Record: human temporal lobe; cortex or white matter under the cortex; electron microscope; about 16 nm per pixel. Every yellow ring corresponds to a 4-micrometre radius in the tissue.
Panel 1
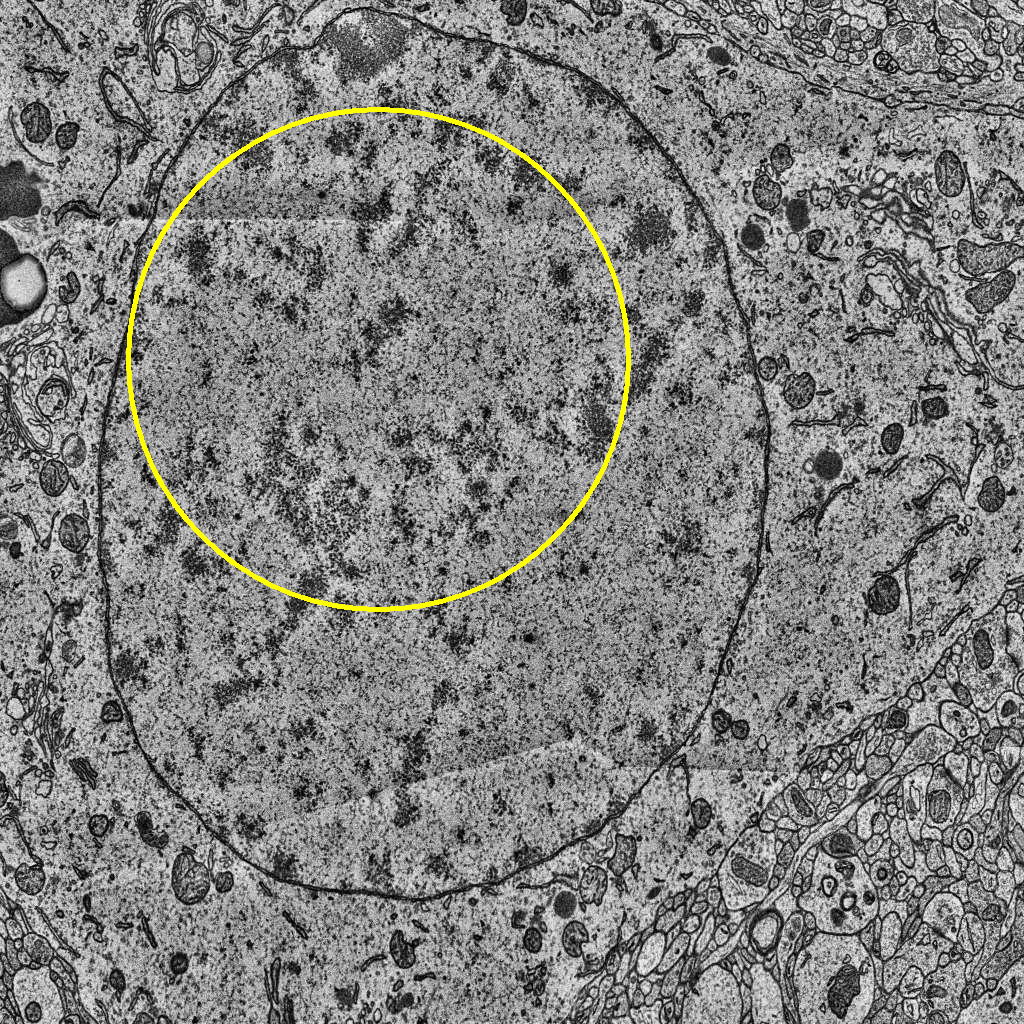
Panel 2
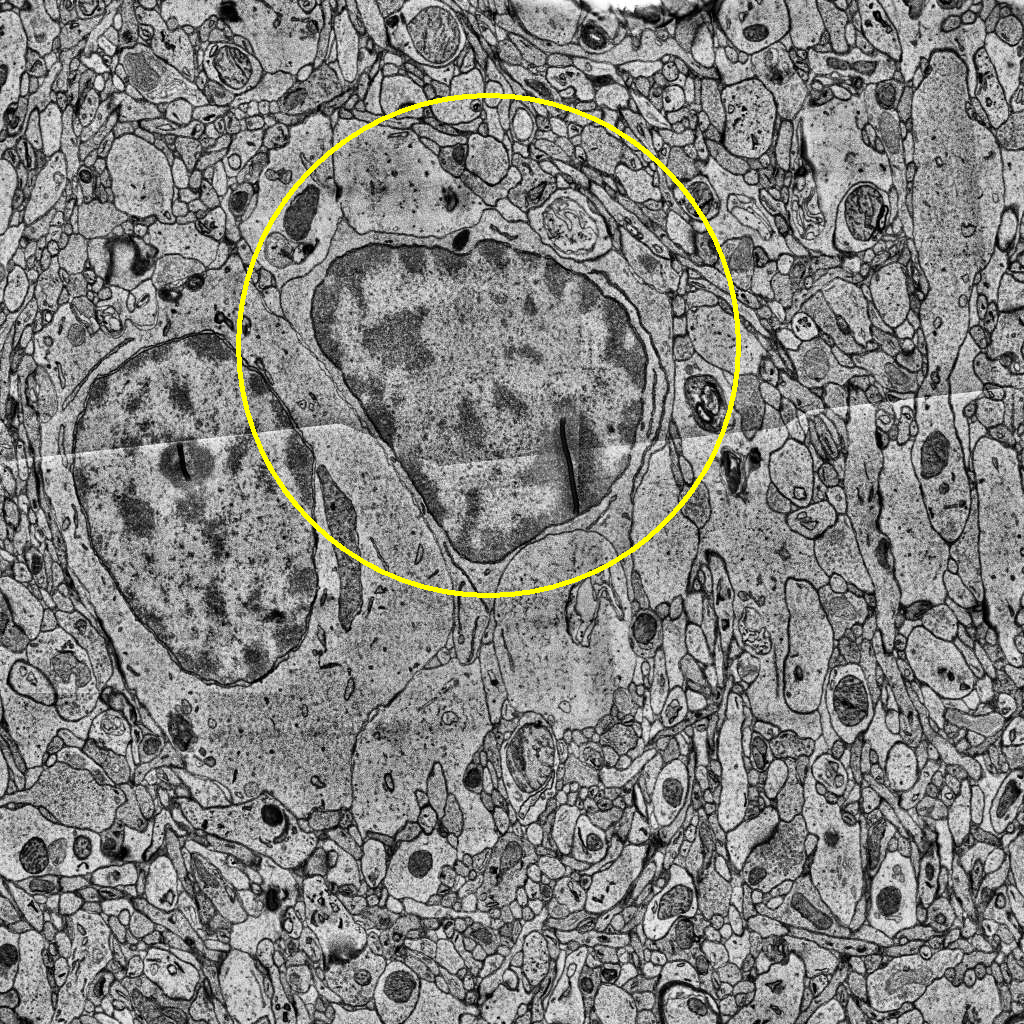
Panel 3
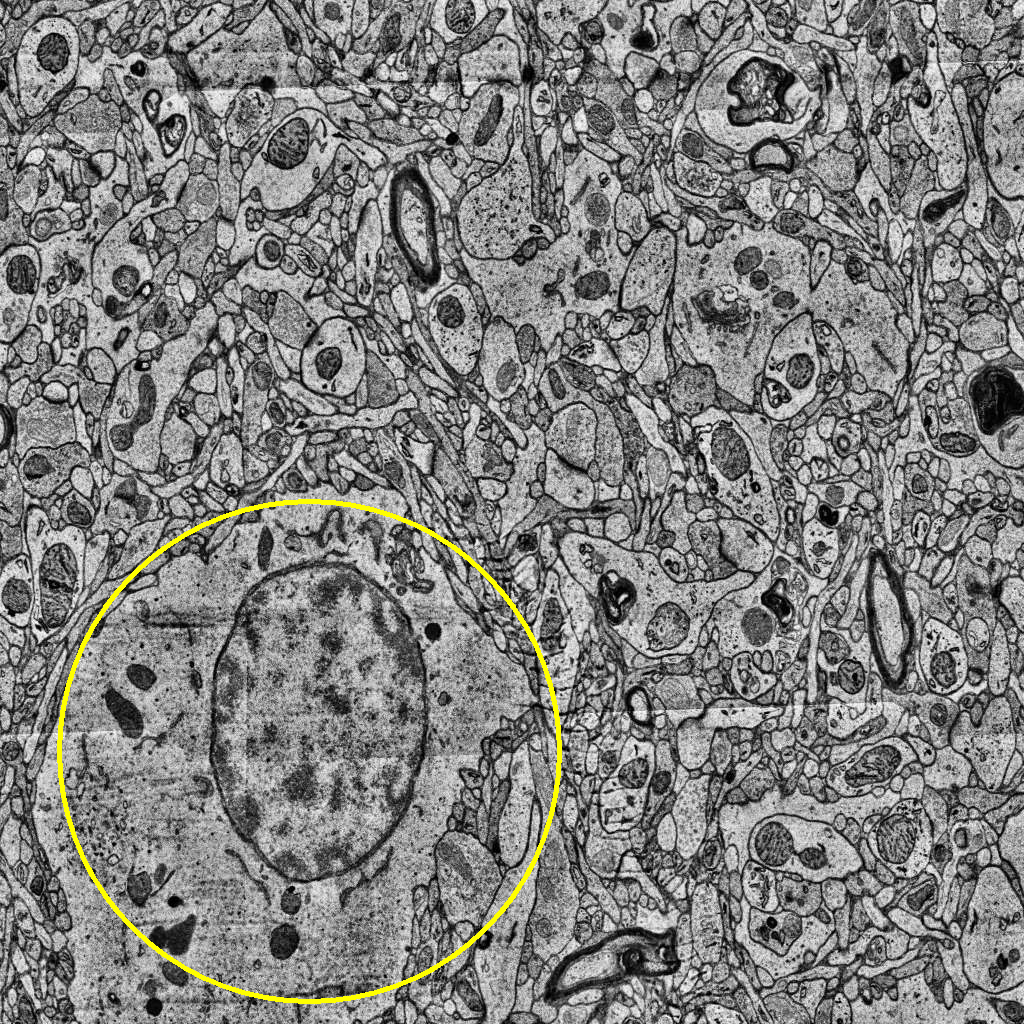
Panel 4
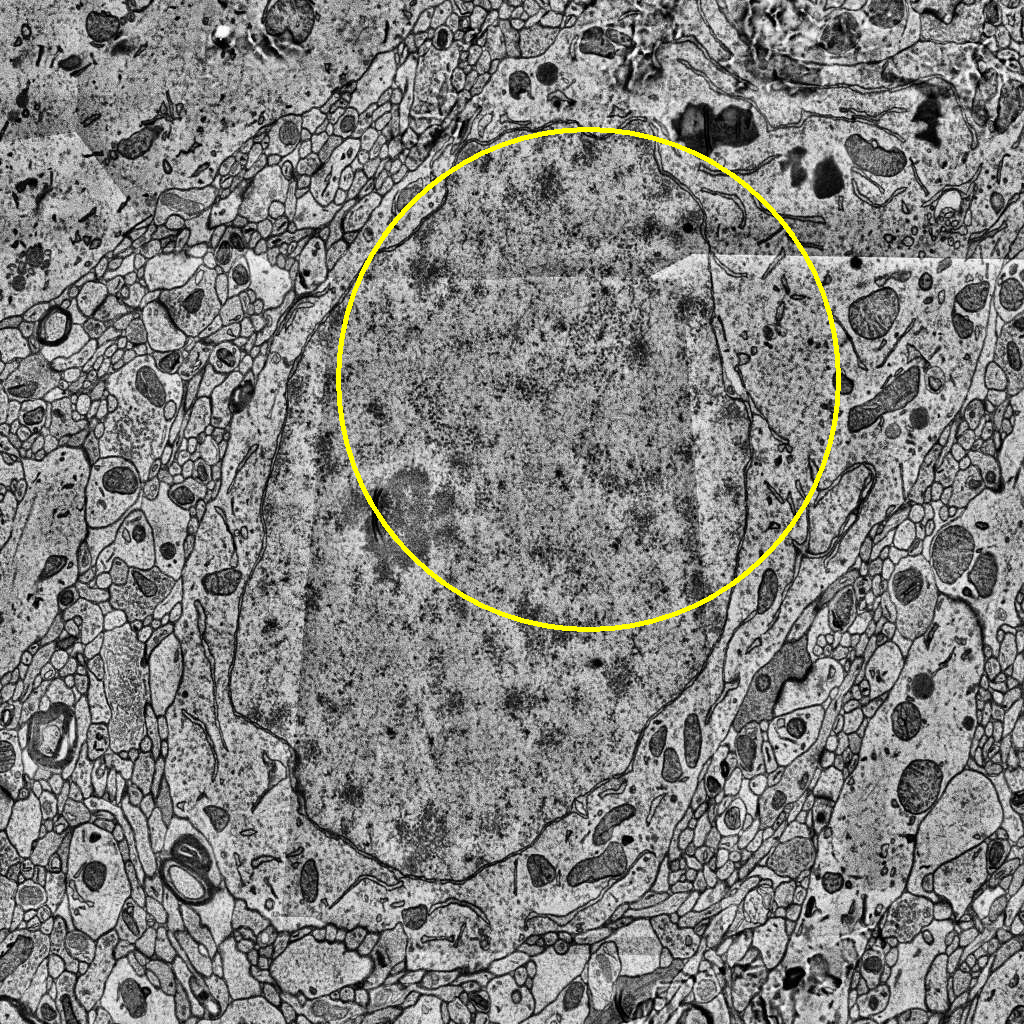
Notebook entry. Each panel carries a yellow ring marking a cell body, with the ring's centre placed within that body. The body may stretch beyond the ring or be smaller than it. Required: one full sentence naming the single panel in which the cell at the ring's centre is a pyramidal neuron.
Panel 1 is the single one with the ring's centre inside the sought cell.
